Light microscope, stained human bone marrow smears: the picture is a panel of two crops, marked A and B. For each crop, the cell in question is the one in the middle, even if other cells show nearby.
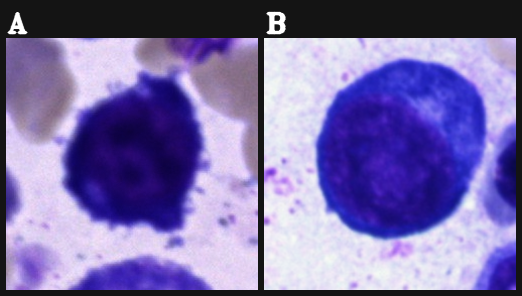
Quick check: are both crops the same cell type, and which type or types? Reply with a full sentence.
Yes, the two crops show proerythroblasts, both of them.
